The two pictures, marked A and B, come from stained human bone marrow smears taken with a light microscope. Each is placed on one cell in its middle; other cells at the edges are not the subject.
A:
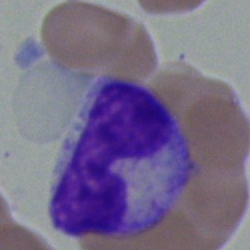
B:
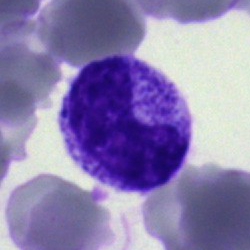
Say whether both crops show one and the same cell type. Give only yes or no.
yes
